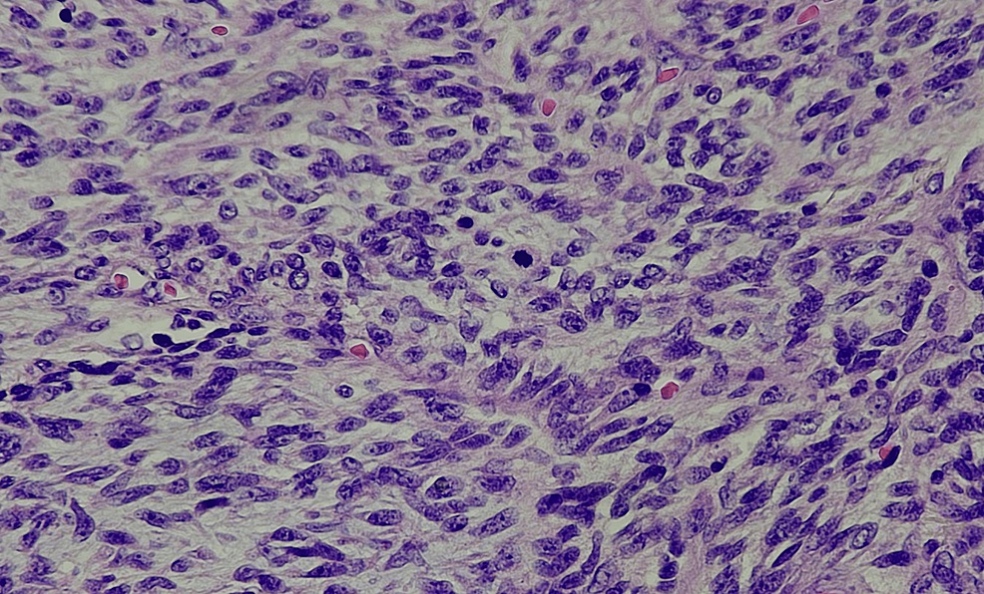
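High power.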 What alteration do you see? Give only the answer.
Mitosis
